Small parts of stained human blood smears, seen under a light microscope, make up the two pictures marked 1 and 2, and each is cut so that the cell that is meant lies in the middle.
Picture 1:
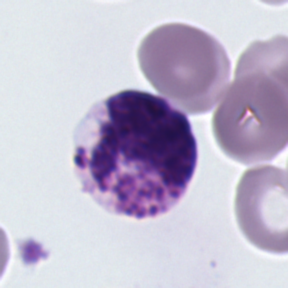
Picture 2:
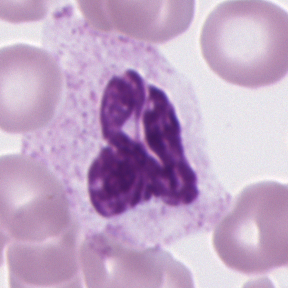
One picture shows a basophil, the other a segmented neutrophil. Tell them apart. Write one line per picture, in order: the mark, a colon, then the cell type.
1: basophil
2: segmented neutrophil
